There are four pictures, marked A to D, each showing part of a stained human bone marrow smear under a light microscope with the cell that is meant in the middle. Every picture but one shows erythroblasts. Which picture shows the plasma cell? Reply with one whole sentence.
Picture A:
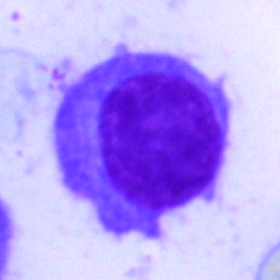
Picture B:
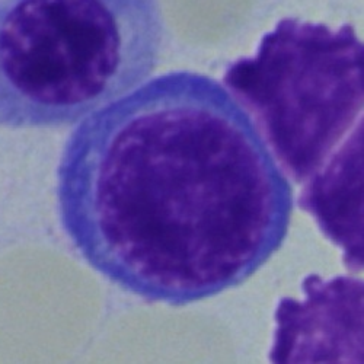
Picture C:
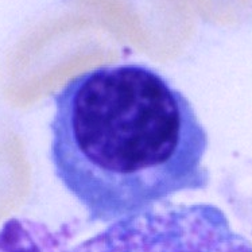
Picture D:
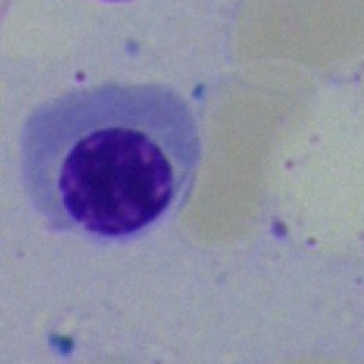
Picture A shows the plasma cell.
